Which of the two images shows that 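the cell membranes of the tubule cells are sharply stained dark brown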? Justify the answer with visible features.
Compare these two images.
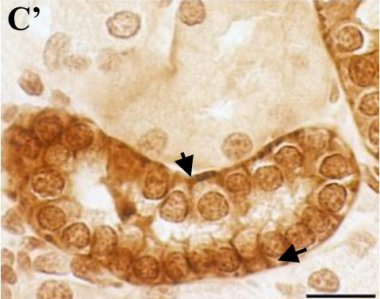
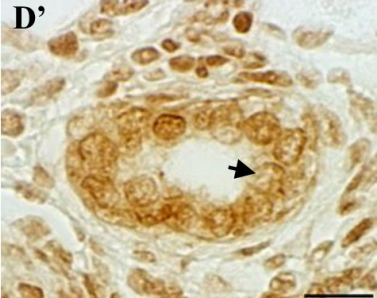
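Second image: the tubule cells show pale, diffuse brown without dark lines at the cell borders. First image: dark brown lines mark the borders between tubule cells. The answer: the first image.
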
